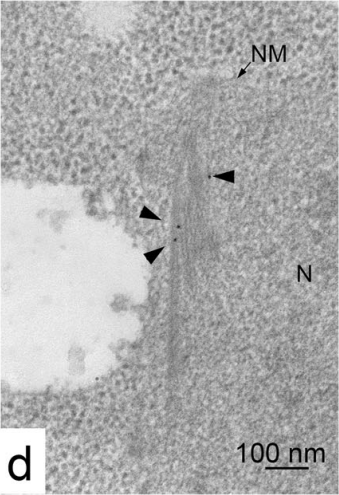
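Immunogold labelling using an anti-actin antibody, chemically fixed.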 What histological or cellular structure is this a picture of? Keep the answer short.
bundles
